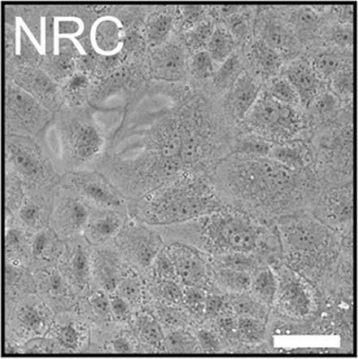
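A continuous sheet of cultured cells is seen in phase contrast. The cells are polygonal and packed edge to edge with no gaps, forming a cobblestone-like layer. Near the upper middle, a few cells look raised and brighter than the rest of the flat layer.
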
